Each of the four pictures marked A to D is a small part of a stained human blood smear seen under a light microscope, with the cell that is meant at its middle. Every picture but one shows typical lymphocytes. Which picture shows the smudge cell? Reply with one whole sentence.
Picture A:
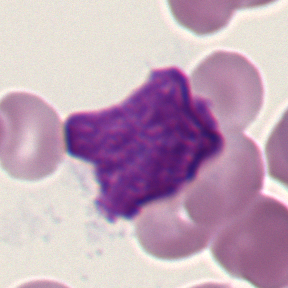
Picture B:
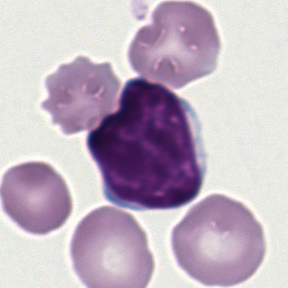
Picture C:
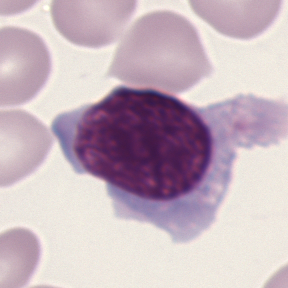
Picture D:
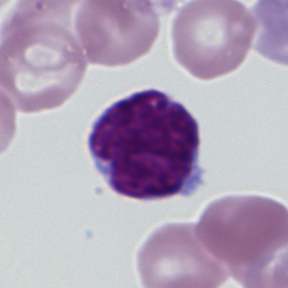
The smudge cell is the one in picture A.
